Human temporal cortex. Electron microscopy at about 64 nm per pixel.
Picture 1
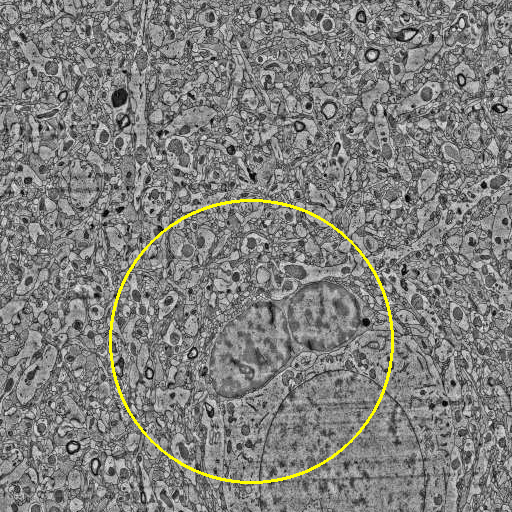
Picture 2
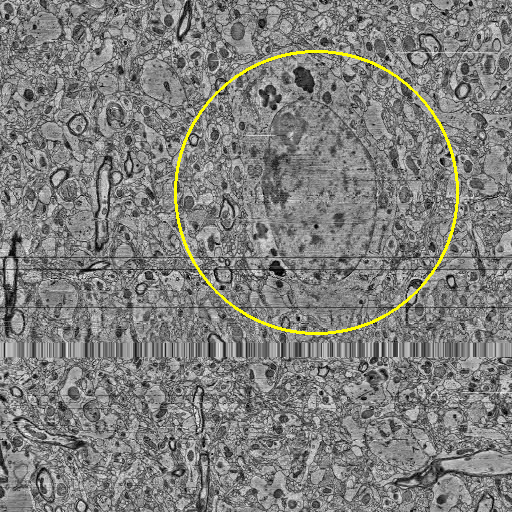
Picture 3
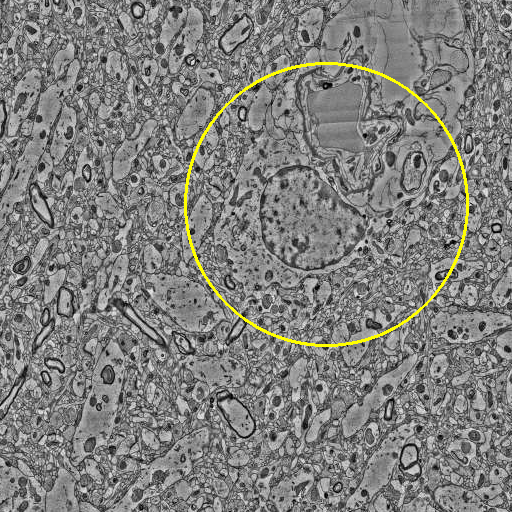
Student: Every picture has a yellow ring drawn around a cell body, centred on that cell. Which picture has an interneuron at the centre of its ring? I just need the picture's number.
2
